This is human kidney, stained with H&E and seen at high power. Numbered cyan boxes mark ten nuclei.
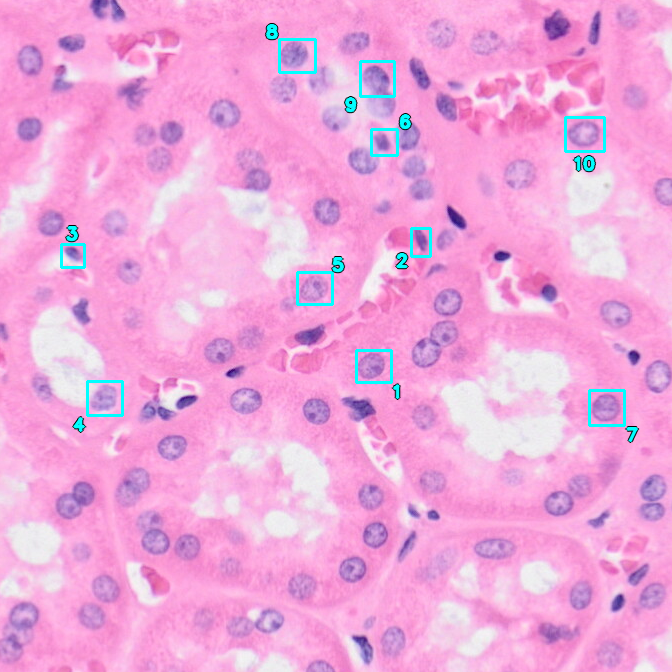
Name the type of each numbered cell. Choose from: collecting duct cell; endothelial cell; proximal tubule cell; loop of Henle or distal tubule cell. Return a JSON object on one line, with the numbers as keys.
{"1": "proximal tubule cell", "2": "endothelial cell", "3": "endothelial cell", "4": "loop of Henle or distal tubule cell", "5": "proximal tubule cell", "6": "loop of Henle or distal tubule cell", "7": "proximal tubule cell", "8": "loop of Henle or distal tubule cell", "9": "loop of Henle or distal tubule cell", "10": "proximal tubule cell"}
